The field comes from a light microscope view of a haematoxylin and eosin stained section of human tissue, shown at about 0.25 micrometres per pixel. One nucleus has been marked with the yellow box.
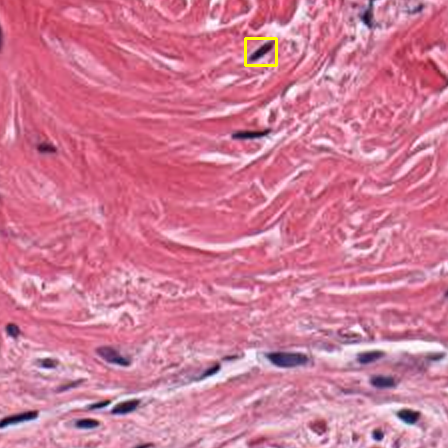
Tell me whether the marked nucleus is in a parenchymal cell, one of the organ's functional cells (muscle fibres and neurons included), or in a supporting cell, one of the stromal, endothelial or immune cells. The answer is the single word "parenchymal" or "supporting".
supporting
